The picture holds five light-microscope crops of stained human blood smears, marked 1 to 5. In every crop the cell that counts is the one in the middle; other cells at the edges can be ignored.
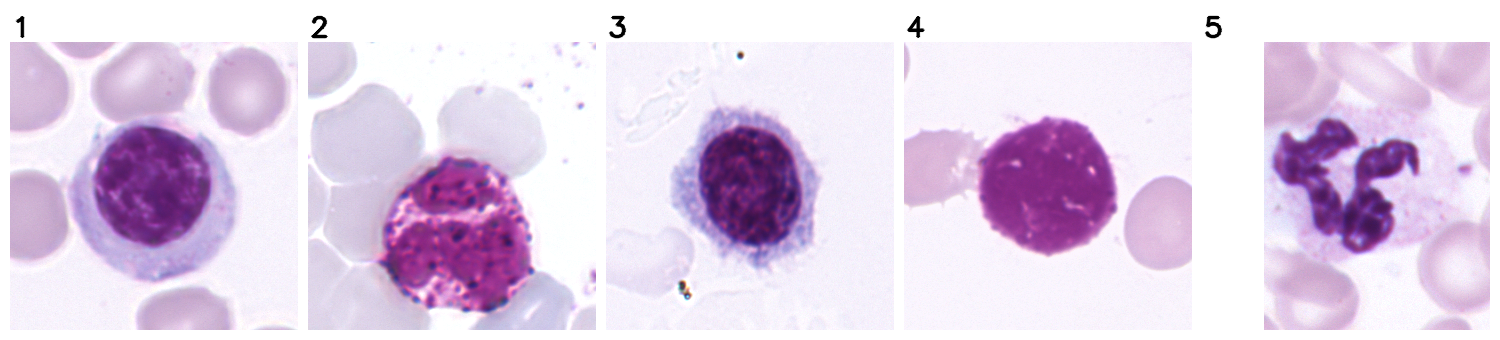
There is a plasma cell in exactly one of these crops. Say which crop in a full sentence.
Crop 1 represents a plasma cell, while the other crops do not.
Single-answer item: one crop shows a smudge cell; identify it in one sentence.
So the crop with a smudge cell at its center is crop 4.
